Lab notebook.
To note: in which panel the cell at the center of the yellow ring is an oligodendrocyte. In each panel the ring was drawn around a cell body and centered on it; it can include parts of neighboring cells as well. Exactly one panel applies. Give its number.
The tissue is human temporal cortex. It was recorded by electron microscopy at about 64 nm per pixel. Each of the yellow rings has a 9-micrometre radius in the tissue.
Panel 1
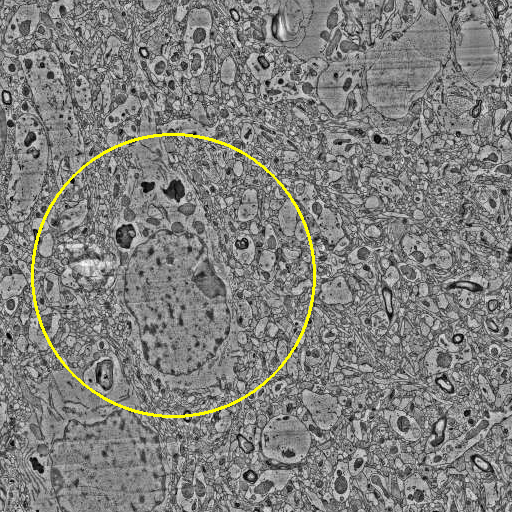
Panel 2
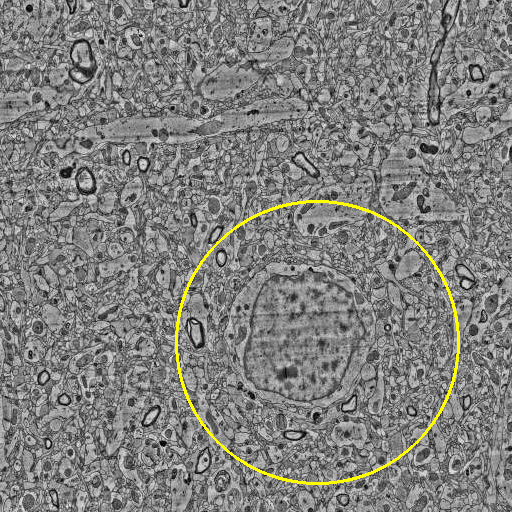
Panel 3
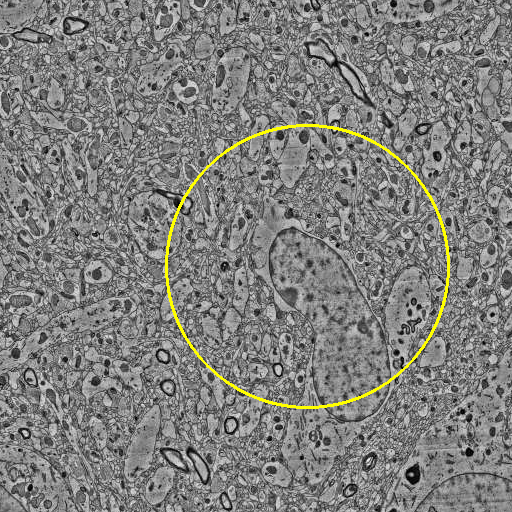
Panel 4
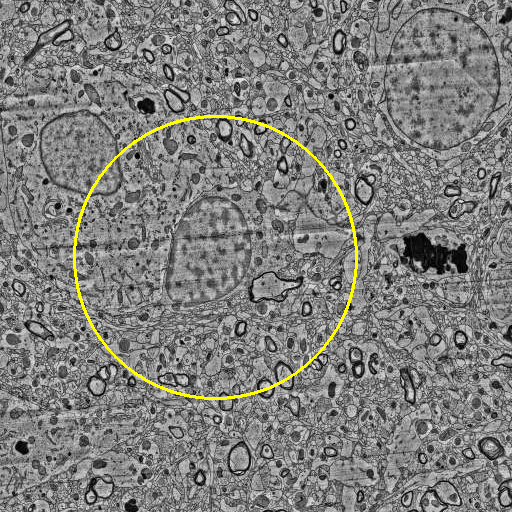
4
